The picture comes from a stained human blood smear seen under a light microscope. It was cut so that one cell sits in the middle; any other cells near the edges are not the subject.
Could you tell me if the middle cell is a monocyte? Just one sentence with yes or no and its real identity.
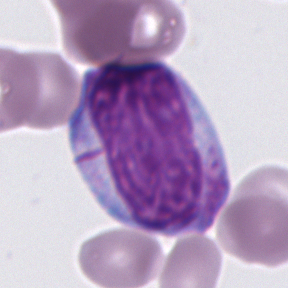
No, the cell at the center of this crop is an atypical promyelocyte instead of a monocyte.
